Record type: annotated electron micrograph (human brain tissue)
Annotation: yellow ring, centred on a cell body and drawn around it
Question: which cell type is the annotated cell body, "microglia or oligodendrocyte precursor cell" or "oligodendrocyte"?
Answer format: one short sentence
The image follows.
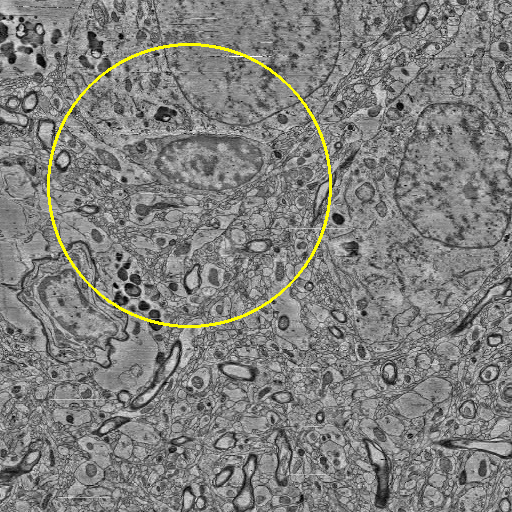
The annotated cell body is that of an oligodendrocyte.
